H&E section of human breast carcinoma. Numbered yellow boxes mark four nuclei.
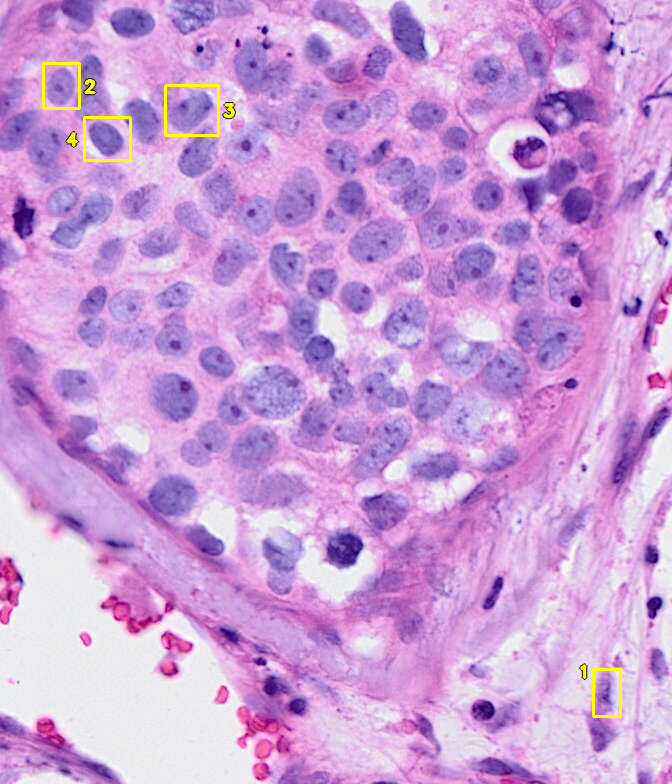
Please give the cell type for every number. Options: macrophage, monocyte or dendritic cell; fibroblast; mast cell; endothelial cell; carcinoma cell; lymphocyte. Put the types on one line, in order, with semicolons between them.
fibroblast; carcinoma cell; carcinoma cell; carcinoma cell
